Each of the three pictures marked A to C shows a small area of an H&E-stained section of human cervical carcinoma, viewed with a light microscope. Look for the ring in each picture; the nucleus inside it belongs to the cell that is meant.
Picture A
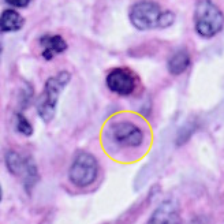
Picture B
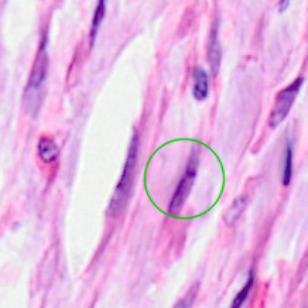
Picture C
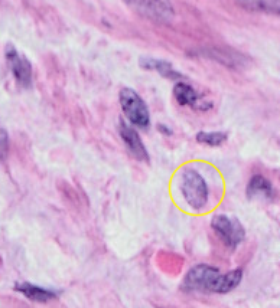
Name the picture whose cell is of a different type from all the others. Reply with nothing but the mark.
B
